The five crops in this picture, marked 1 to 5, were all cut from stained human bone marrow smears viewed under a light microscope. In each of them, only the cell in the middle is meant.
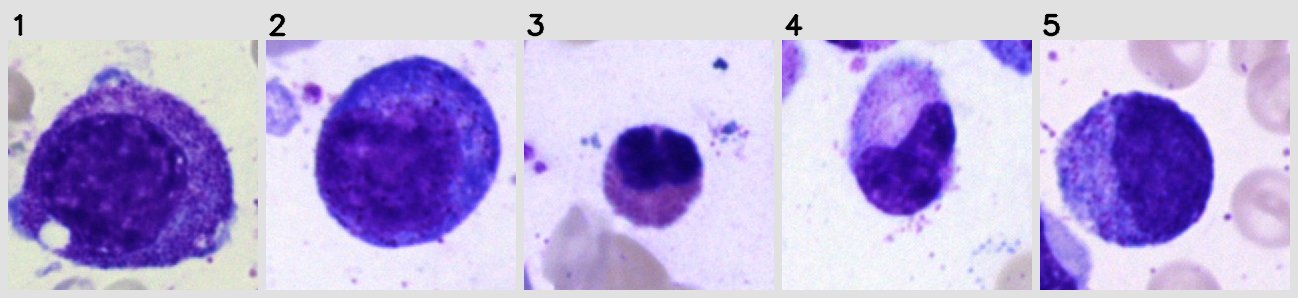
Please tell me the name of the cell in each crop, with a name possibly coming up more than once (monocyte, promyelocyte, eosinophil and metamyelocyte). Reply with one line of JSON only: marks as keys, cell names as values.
{"1": "promyelocyte", "2": "promyelocyte", "3": "eosinophil", "4": "metamyelocyte", "5": "promyelocyte"}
